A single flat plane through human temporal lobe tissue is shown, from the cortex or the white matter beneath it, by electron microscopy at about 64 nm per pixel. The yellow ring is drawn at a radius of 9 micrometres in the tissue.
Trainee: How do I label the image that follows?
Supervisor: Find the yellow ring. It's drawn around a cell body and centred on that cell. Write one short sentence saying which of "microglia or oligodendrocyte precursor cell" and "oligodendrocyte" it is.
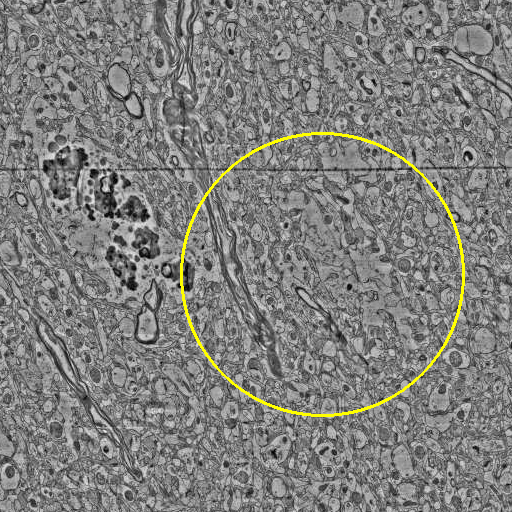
This is the cell body of a microglial cell or oligodendrocyte precursor cell.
